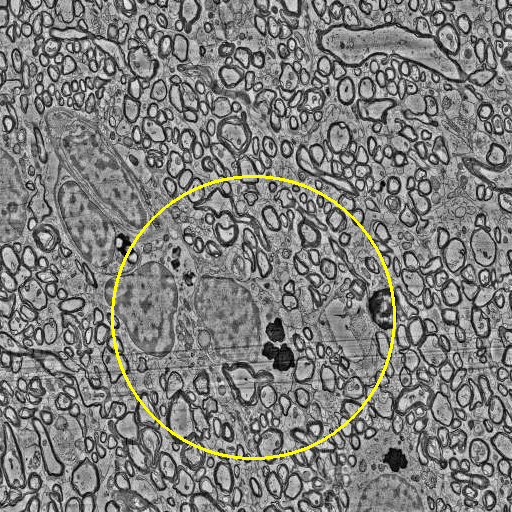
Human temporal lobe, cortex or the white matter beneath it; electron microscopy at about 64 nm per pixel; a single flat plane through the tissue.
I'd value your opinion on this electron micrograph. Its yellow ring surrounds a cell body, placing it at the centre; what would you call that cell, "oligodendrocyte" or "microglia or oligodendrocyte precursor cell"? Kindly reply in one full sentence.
It is a microglial cell or oligodendrocyte precursor cell that sits centred within the yellow ring in this micrograph.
